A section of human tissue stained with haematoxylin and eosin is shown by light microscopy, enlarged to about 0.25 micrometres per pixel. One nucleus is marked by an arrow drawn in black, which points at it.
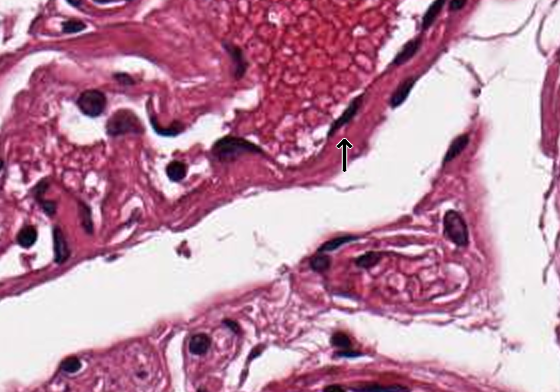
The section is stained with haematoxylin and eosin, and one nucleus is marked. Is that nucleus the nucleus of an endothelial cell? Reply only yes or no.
yes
